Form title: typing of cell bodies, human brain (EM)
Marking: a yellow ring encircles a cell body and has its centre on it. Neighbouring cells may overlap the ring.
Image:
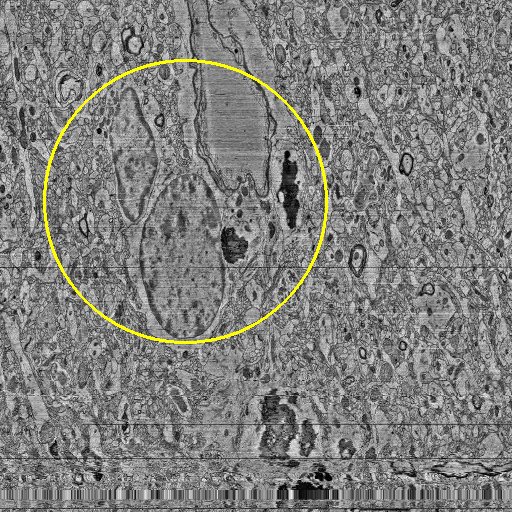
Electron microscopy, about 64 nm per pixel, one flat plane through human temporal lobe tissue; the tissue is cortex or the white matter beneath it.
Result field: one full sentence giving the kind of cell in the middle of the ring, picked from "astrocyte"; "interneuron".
In the picture, the ring is centred on an astrocyte, whose cell body it encircles.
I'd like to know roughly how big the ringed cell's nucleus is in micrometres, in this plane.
The nucleus comes to approximately 11 by 6 micrometres and is clearly longer than it is wide in this plane.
